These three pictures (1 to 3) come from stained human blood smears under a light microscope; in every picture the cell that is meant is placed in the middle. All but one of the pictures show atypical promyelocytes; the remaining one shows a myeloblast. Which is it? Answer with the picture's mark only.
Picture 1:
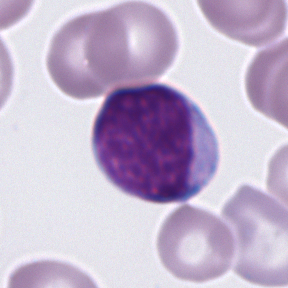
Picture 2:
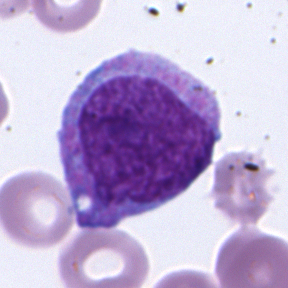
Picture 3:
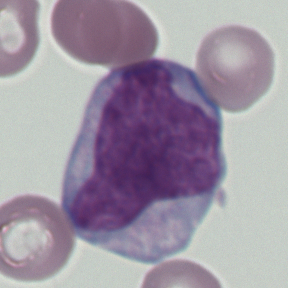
1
